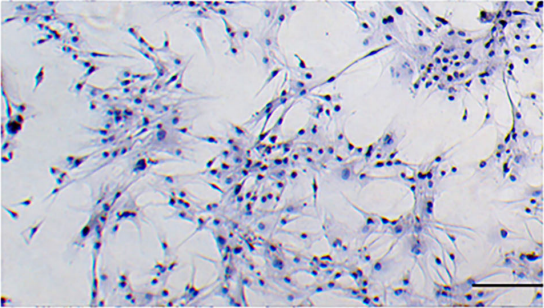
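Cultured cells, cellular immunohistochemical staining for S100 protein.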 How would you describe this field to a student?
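Many cells have long, slender, branching processes that extend across the dish and interconnect neighbouring cells. The cells gather into several dense clusters, from which processes radiate outward like a network, leaving broad clear areas of empty substrate between the groups. Some cell bodies are spindle-shaped, others polygonal, and a few nuclei appear darker and more compact than the rest.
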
